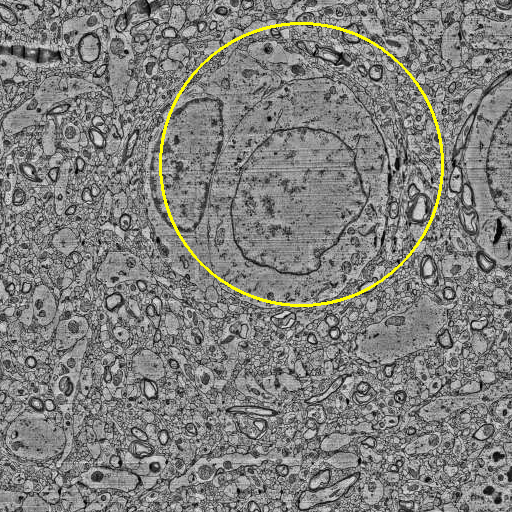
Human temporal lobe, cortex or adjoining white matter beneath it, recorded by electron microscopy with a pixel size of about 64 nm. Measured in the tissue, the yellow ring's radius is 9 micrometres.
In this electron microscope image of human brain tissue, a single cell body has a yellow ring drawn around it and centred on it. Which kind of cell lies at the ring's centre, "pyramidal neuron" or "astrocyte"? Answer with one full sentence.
It is a pyramidal neuron whose cell body lies at the centre of the yellow ring here.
